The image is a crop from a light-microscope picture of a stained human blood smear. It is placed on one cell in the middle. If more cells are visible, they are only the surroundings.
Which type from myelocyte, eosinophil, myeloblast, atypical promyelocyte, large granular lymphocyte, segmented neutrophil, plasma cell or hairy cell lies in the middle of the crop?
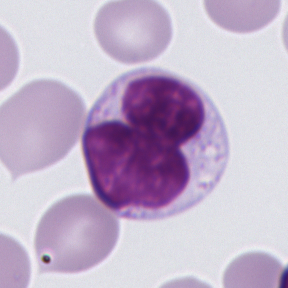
large granular lymphocyte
